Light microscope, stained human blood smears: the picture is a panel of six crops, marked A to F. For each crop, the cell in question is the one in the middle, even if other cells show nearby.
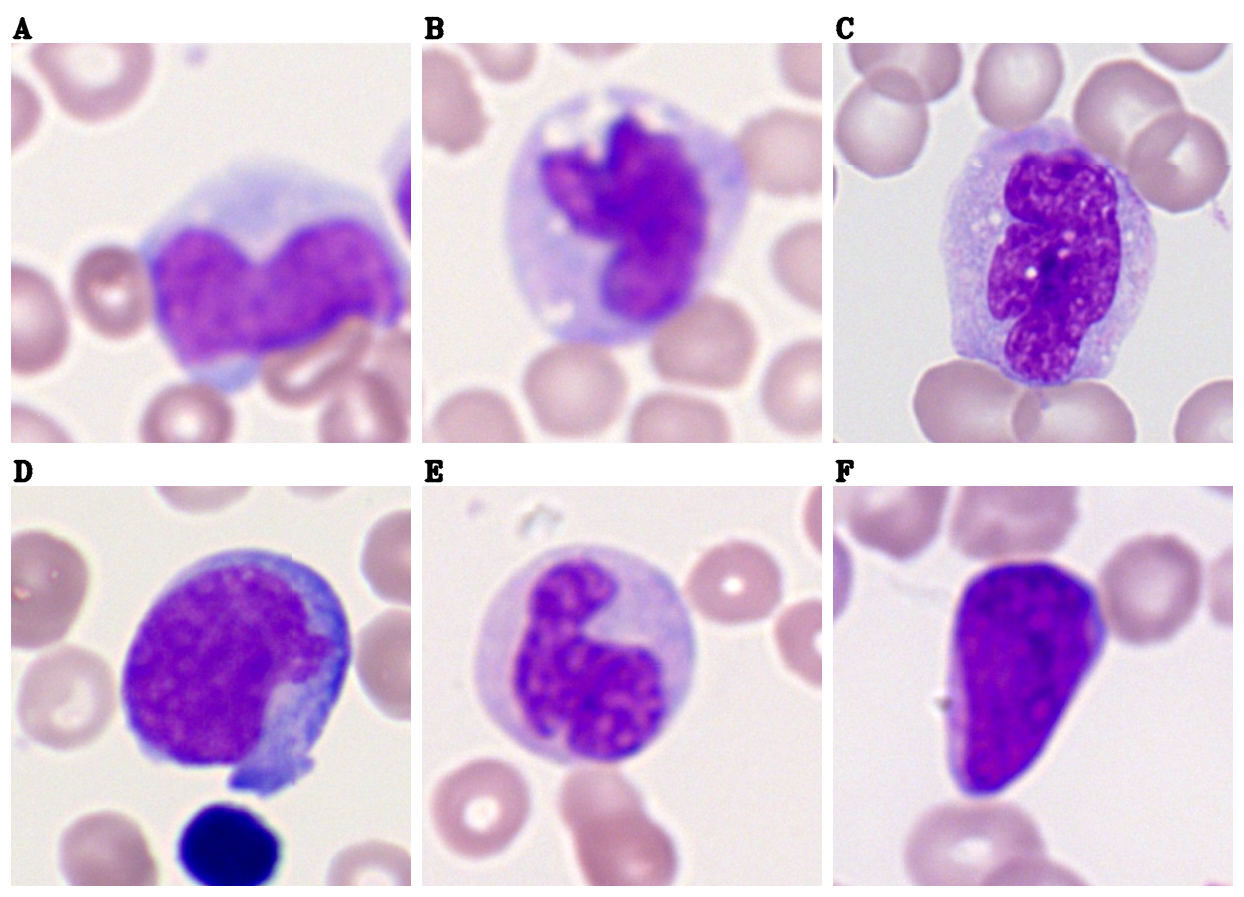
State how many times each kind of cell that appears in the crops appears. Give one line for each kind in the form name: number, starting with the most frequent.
monocyte: 4
myeloblast: 2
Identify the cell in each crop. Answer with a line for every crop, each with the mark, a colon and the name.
A: monocyte
B: monocyte
C: monocyte
D: myeloblast
E: monocyte
F: myeloblast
